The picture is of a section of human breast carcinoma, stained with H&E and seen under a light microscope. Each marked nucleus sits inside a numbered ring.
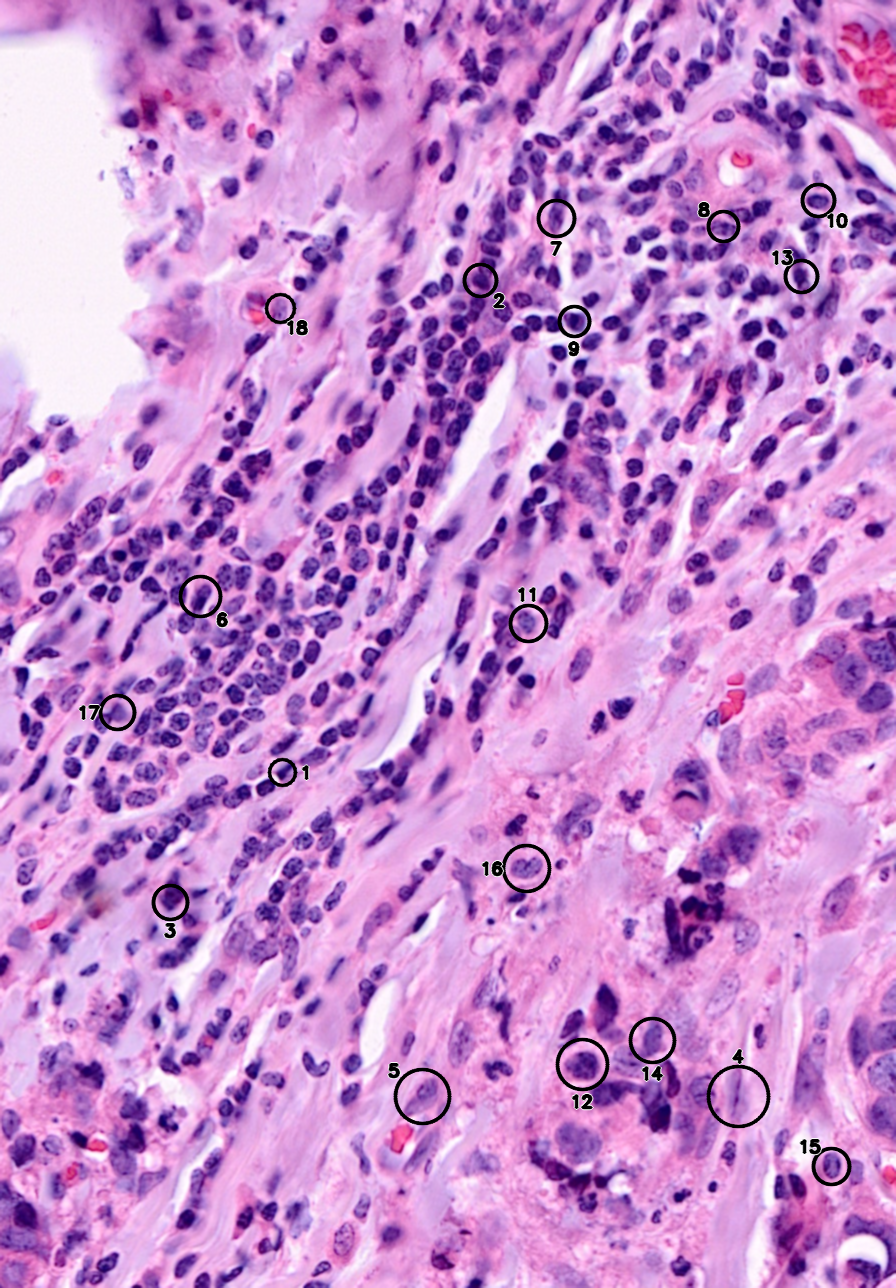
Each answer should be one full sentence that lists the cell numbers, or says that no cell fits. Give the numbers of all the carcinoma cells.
The cells with numbers 12 and 14 are carcinoma cells by type.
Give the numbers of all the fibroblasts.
Of all the numbered cells, only cell 4 is a fibroblast.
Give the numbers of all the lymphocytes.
The cells numbered 1, 2, 3, 6, 7, 8, 9, 10, 13 and 17 are, by type, lymphocytes.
